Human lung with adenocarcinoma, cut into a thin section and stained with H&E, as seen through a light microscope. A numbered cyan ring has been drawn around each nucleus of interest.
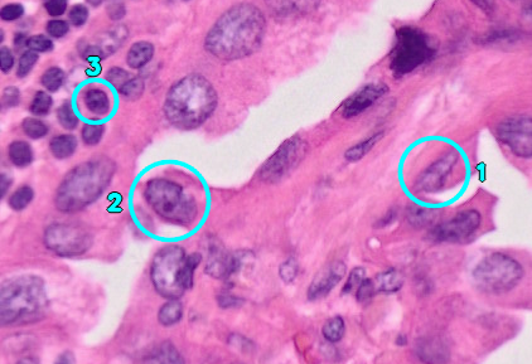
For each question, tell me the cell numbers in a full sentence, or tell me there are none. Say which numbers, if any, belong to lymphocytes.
The cell labelled 3 is a lymphocyte, while the remaining numbered cells are not.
